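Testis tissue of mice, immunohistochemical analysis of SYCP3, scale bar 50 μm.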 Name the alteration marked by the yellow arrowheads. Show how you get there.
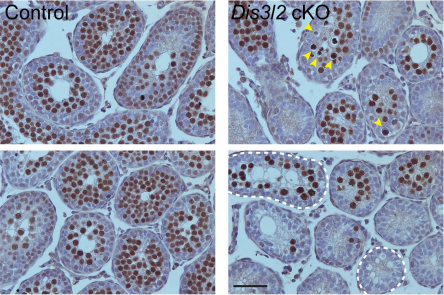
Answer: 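The arrowheads point to small, dense, dark brown round nuclei inside a tubule. On this evidence: spermatocytes with pyknotic nuclei.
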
